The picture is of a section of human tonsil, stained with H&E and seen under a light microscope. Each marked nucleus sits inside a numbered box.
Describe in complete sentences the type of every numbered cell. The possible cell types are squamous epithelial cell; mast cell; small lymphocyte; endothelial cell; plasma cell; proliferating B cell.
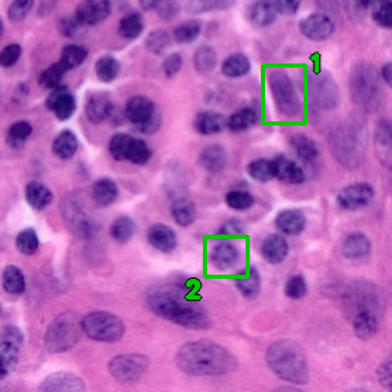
Cell 1 is a squamous epithelial cell and cell 2 is a plasma cell.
